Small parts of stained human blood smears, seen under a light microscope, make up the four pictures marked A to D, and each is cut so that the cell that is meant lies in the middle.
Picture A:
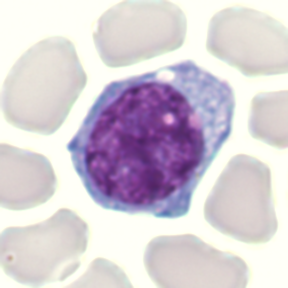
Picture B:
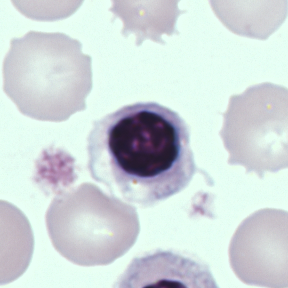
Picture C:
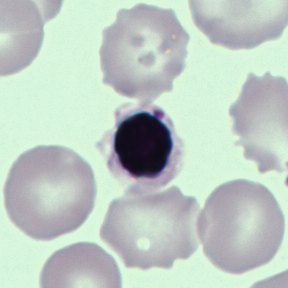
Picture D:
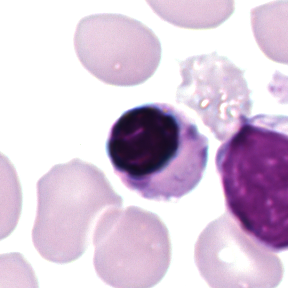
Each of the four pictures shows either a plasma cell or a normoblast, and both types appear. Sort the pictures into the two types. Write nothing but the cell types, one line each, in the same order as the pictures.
plasma cell
normoblast
normoblast
normoblast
